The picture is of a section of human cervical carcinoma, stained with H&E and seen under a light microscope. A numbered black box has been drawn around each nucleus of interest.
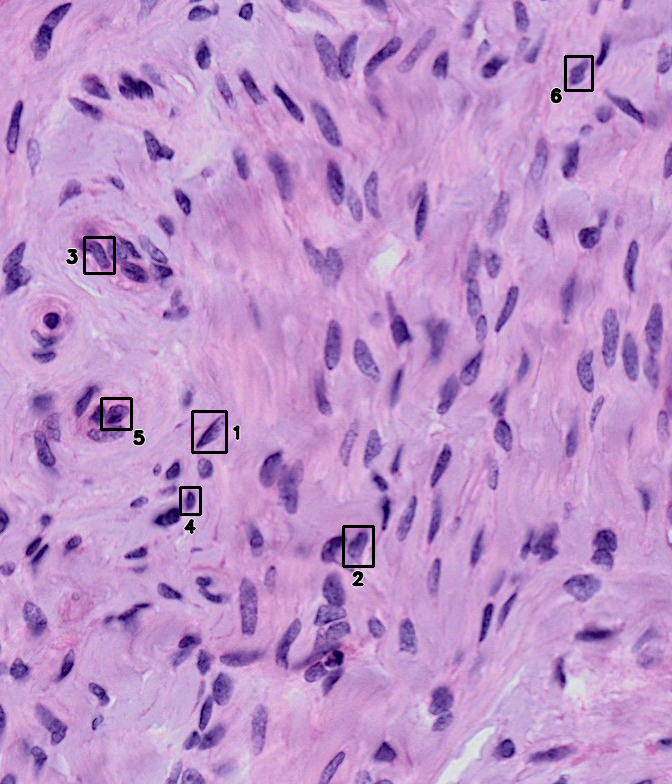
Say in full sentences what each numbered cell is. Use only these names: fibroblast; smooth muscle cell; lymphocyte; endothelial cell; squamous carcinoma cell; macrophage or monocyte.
Cells 1, 2, 4 and 6 are fibroblasts. Cells 3 and 5 are endothelial cells.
